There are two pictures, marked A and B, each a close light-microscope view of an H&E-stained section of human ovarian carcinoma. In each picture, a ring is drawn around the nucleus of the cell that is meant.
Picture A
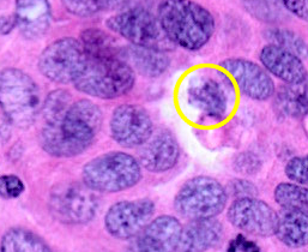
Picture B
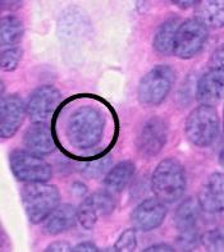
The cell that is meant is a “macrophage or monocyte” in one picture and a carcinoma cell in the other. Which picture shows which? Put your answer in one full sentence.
It is picture A that shows a “macrophage or monocyte”, and picture B that shows a carcinoma cell.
